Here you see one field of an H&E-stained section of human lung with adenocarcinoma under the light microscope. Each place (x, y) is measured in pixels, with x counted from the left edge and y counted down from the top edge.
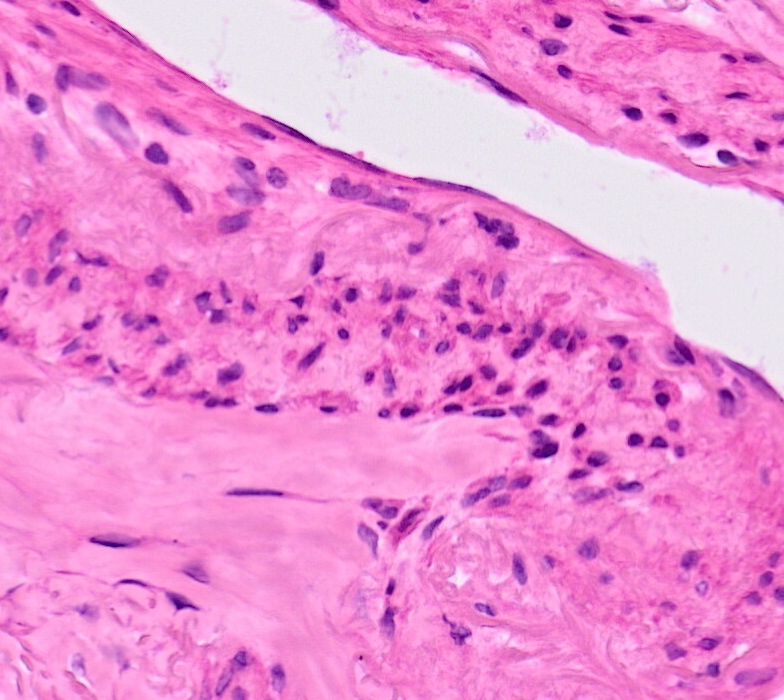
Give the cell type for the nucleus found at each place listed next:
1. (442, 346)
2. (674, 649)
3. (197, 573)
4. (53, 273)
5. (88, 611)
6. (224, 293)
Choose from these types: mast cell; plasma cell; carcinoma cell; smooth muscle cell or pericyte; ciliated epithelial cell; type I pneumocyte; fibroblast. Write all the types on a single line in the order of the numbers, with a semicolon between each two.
smooth muscle cell or pericyte; smooth muscle cell or pericyte; fibroblast; smooth muscle cell or pericyte; fibroblast; smooth muscle cell or pericyte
